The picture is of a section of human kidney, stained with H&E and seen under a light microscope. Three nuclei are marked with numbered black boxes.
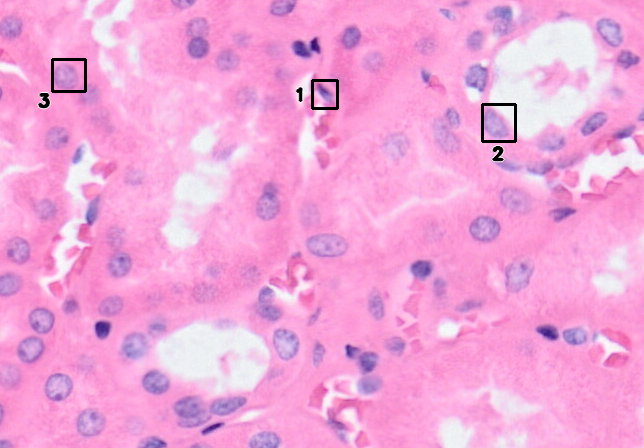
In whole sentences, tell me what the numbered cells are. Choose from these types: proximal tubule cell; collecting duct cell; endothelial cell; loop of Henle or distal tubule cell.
Cell 1 is an endothelial cell. Cell 2 is a loop of Henle or distal tubule cell. Cell 3 is a proximal tubule cell.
